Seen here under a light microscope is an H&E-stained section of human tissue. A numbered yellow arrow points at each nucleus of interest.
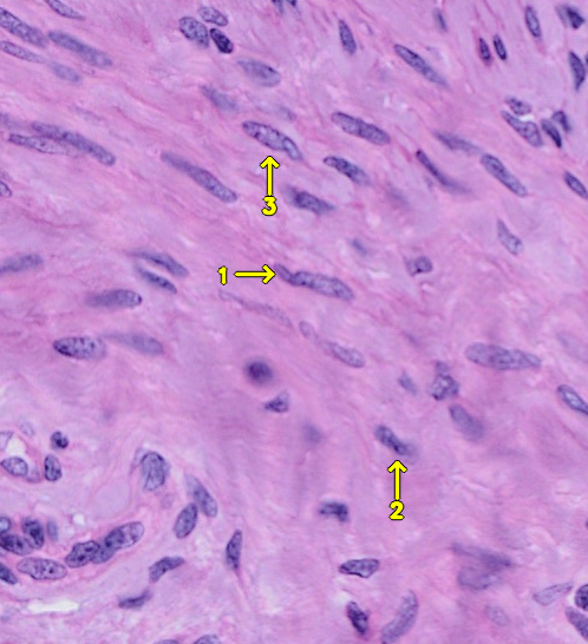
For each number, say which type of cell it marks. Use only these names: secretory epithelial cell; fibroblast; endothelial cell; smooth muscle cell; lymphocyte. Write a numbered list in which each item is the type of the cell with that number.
1. smooth muscle cell
2. fibroblast
3. smooth muscle cell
